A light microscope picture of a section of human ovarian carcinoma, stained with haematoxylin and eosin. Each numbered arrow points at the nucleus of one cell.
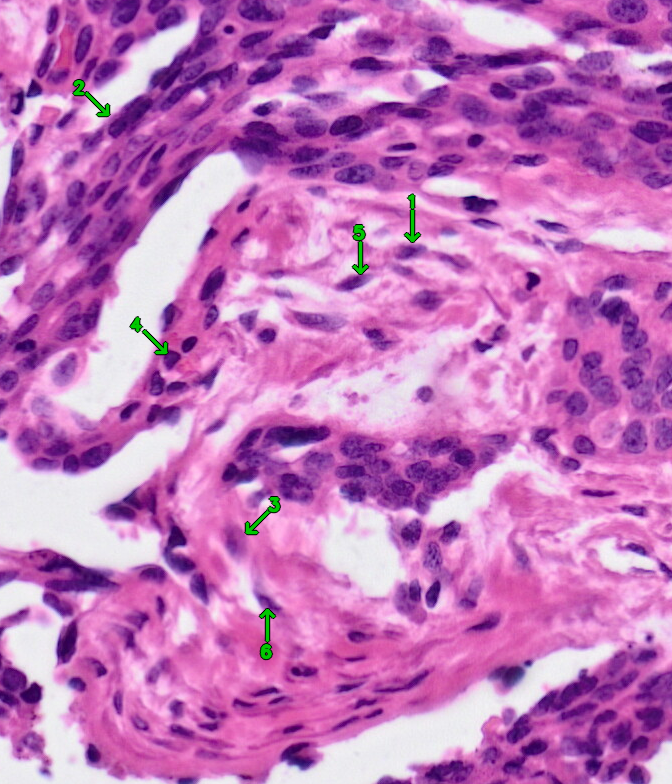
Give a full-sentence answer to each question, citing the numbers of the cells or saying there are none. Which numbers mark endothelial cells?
Only the cell carrying number 4 is an endothelial cell.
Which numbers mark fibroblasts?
In this section, the cells numbered 1, 3, 5 and 6 are fibroblasts.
